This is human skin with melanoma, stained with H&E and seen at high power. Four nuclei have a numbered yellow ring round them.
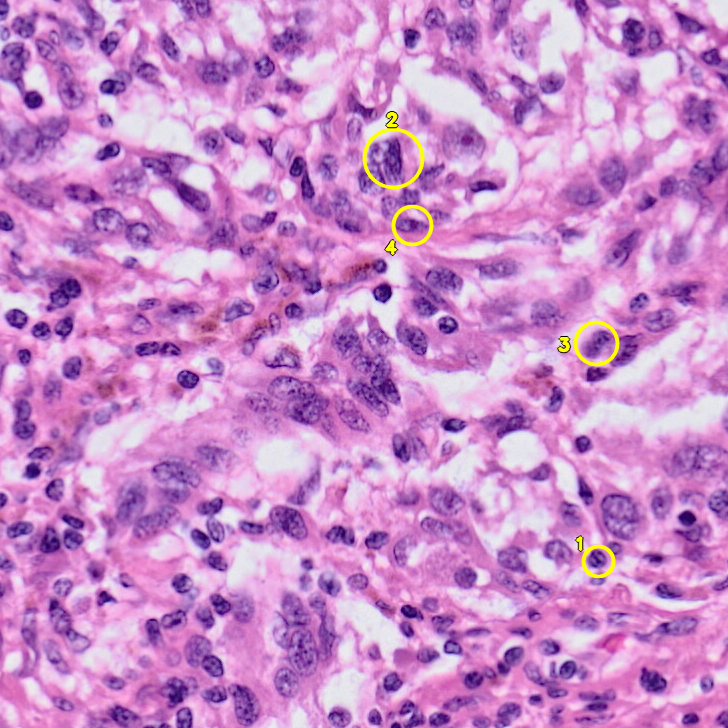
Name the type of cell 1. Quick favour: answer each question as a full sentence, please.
The one labeled 1 is a lymphocyte, to put it simply.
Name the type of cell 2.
The marked nucleus 2 is that of a melanoma cell.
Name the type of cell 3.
Here, the cell given the number 3 is a melanoma cell.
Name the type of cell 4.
The nucleus with number 4 is that of a melanoma cell.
